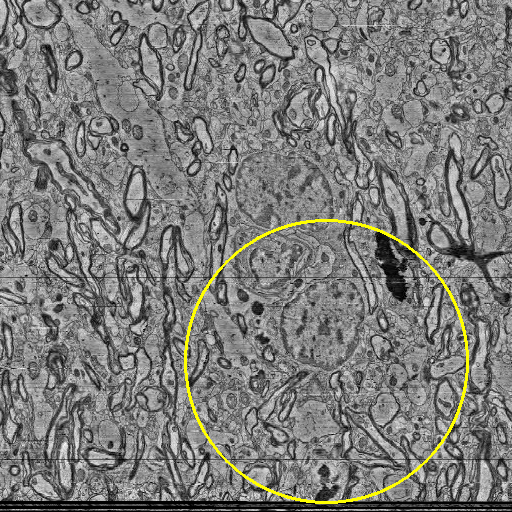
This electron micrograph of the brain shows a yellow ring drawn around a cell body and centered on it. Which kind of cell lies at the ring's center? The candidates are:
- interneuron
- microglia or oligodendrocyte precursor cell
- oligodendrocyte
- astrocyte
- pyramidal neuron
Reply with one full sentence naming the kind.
The cell lying at the ring's center in this micrograph is an oligodendrocyte.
